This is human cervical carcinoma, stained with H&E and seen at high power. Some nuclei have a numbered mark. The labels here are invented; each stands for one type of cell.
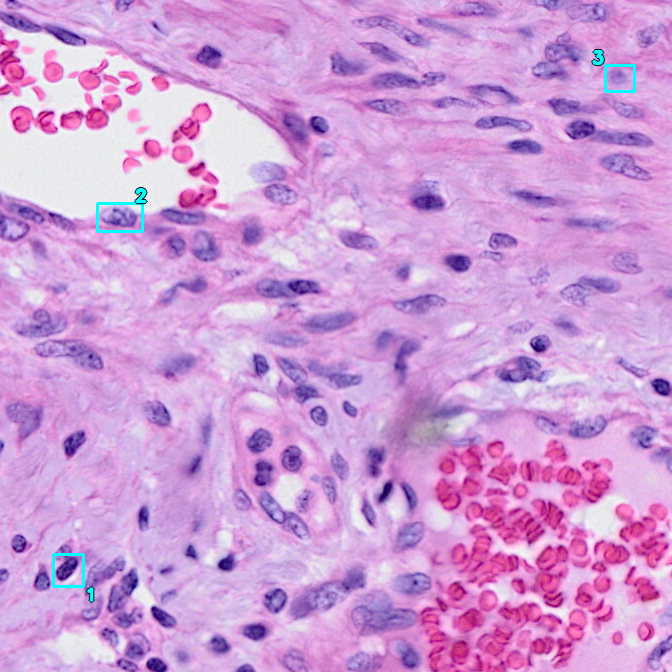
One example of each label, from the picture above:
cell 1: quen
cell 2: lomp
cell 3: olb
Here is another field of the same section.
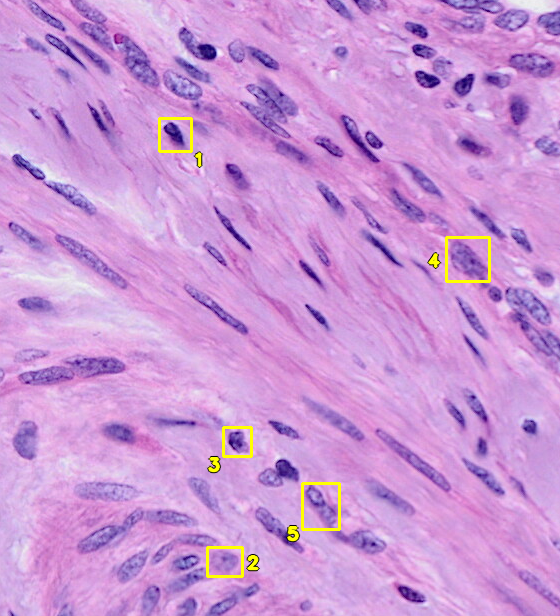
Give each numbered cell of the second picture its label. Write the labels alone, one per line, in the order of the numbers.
quen
olb
quen
lomp
lomp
